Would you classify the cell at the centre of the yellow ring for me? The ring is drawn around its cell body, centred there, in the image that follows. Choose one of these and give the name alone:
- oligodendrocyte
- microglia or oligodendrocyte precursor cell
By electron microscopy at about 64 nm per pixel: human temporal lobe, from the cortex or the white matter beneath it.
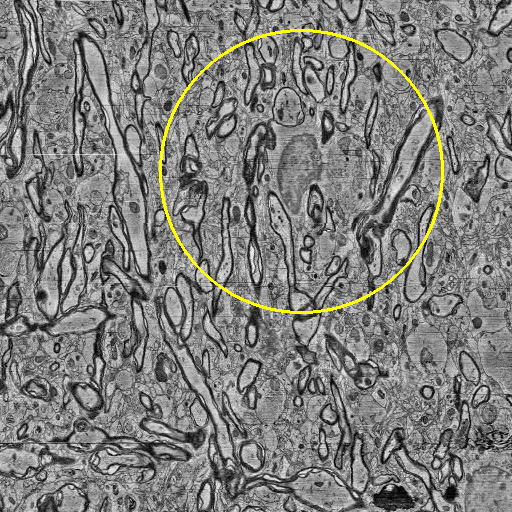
oligodendrocyte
